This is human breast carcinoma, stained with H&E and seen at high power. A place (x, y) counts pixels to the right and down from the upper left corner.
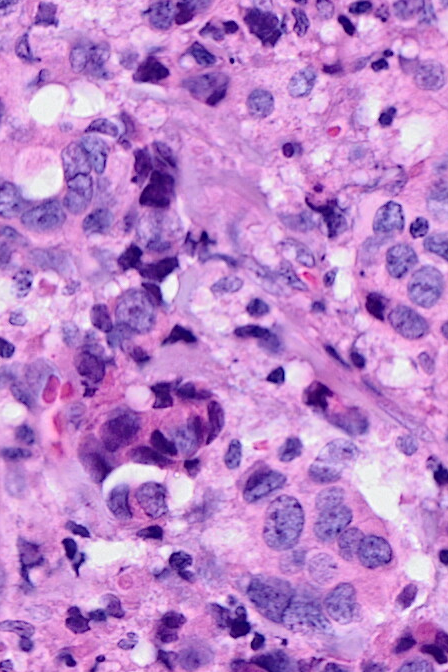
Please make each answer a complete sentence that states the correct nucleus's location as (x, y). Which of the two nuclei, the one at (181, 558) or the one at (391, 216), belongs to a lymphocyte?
Here the nucleus at (181, 558) is the one that belongs to a lymphocyte.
